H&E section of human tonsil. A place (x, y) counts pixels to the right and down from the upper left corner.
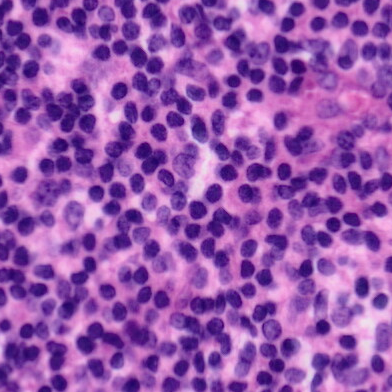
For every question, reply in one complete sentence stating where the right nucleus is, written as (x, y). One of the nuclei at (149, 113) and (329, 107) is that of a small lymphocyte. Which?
In this pair, the nucleus at (149, 113) belongs to a small lymphocyte.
